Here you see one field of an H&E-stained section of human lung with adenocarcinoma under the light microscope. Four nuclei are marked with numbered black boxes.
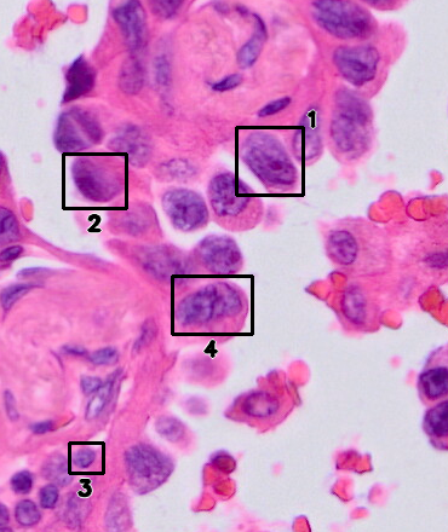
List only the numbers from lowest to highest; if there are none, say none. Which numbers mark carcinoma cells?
1, 2, 4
